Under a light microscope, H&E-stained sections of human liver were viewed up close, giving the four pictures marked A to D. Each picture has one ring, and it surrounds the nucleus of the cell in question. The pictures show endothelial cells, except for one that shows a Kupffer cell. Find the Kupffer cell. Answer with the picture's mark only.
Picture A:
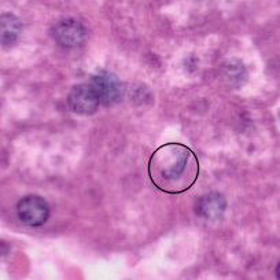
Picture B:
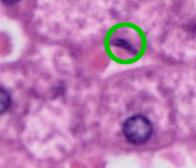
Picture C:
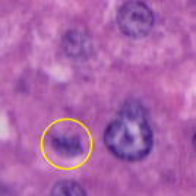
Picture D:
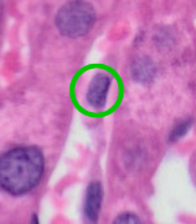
D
